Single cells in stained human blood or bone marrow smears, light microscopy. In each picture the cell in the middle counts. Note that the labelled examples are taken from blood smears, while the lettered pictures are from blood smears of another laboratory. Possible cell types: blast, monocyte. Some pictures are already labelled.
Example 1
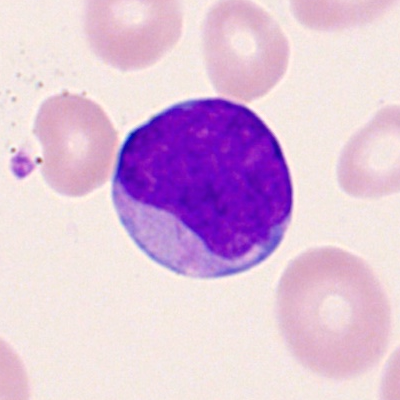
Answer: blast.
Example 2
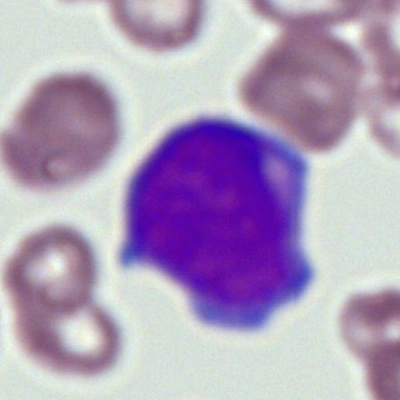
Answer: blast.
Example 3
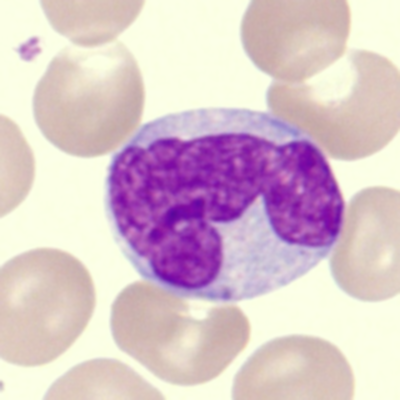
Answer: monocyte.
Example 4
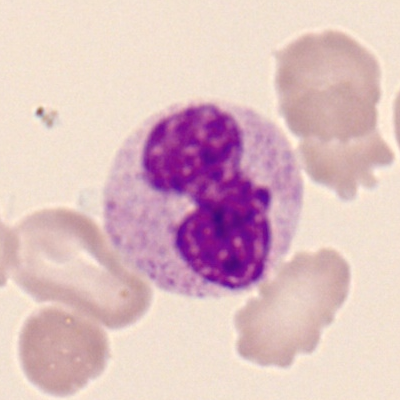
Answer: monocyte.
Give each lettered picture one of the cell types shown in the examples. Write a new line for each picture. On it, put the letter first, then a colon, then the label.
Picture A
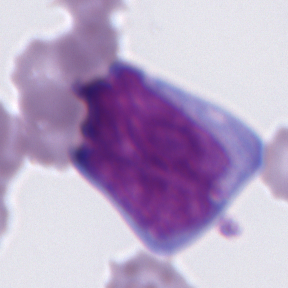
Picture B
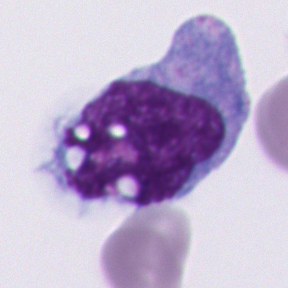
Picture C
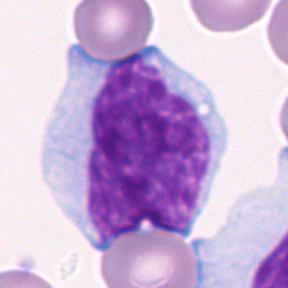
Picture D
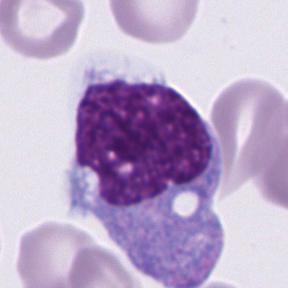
A: blast.
B: monocyte.
C: blast.
D: monocyte.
